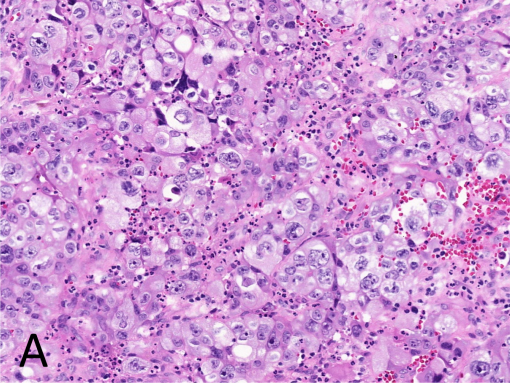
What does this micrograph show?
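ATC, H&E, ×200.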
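This tumor is composed of pleomorphic giant cells set in a dense acute inflammatory infiltrate. The tumor cells are large, with abundant pale pink to clear cytoplasm and nuclei that vary greatly in size and shape, some being bizarre and darkly stained with prominent nucleoli. Numerous small inflammatory cells with dark, lobed nuclei are scattered among them, together with extravasated red blood cells.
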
